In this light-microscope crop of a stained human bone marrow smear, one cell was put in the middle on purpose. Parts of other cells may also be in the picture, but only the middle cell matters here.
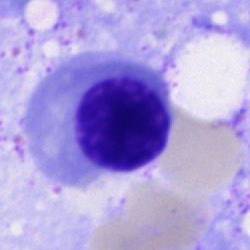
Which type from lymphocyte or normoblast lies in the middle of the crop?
normoblast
